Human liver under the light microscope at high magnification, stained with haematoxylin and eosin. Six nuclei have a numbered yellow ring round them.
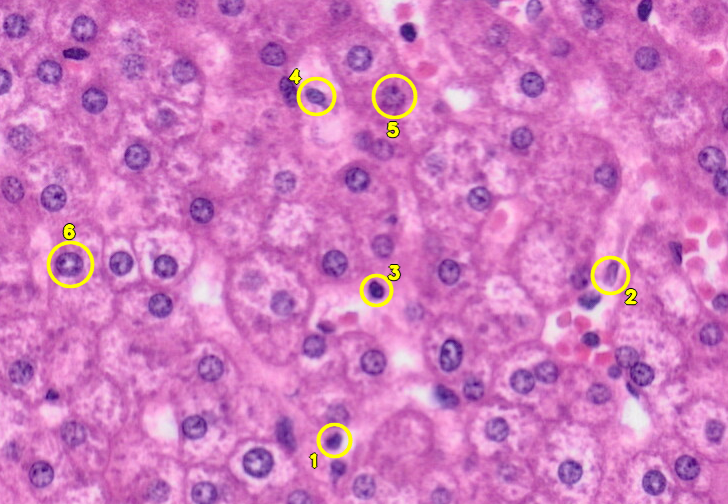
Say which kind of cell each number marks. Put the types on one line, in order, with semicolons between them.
lymphocyte; Kupffer cell; lymphocyte; lymphocyte; hepatocyte; hepatocyte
